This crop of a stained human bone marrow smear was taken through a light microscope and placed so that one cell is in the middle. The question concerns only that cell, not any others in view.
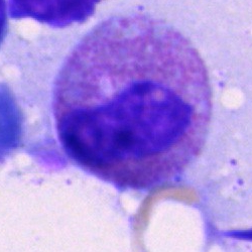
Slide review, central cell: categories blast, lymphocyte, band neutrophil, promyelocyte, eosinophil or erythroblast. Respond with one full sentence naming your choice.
The cell of interest, located centrally, is an eosinophil.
